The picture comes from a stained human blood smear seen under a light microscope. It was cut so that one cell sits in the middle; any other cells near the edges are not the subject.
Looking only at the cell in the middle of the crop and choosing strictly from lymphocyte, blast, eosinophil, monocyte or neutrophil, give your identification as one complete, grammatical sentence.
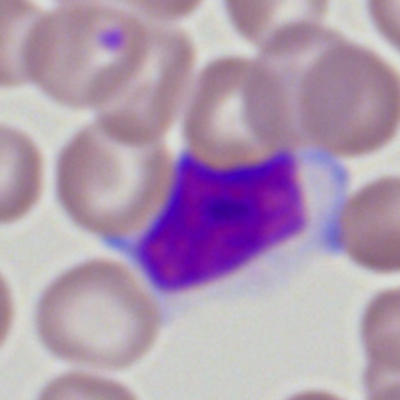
In this smear crop, the middle cell is a lymphocyte.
